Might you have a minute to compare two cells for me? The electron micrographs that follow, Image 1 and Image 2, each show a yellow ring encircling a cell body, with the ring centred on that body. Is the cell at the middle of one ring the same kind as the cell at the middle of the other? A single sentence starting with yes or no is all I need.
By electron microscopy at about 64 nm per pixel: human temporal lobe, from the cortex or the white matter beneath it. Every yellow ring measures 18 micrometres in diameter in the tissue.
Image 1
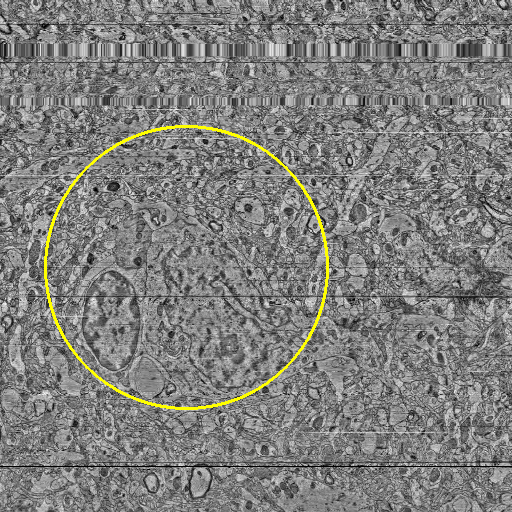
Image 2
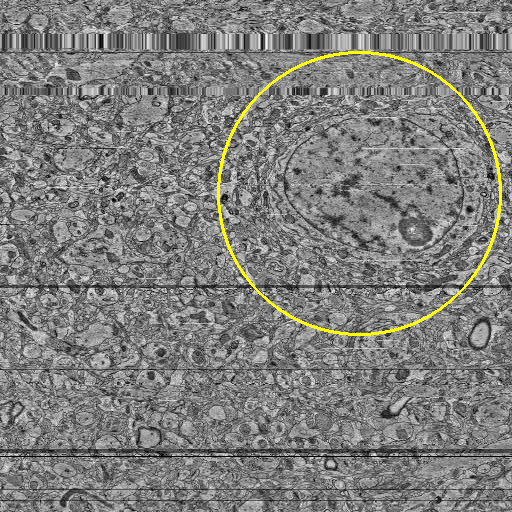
No, the cells in the middle of the two rings are of two separate kinds.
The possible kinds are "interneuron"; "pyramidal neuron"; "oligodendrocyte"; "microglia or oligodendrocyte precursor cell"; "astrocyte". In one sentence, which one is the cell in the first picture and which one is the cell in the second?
The cell ringed in the second picture is a pyramidal neuron, whereas the one ringed in the first is an interneuron.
